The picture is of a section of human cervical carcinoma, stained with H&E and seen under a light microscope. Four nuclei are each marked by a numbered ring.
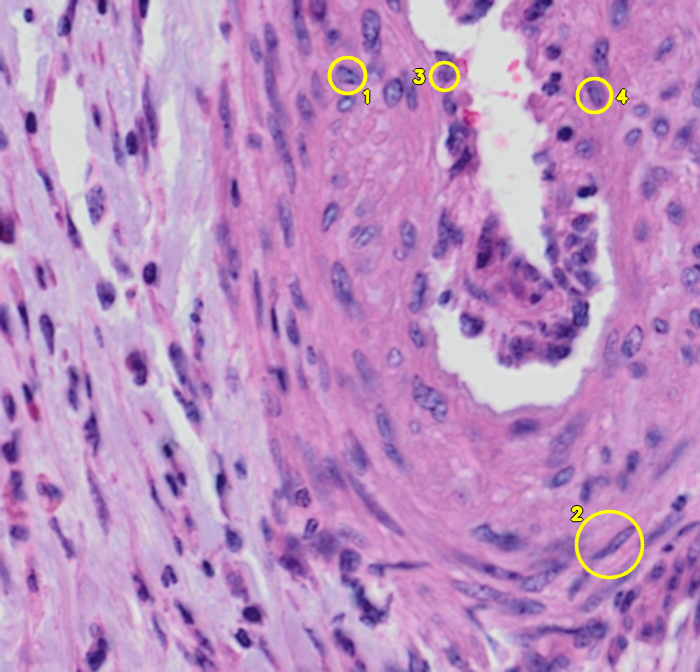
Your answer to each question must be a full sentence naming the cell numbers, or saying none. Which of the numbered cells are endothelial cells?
Cell 3 is an endothelial cell, and it is the only numbered cell that is.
